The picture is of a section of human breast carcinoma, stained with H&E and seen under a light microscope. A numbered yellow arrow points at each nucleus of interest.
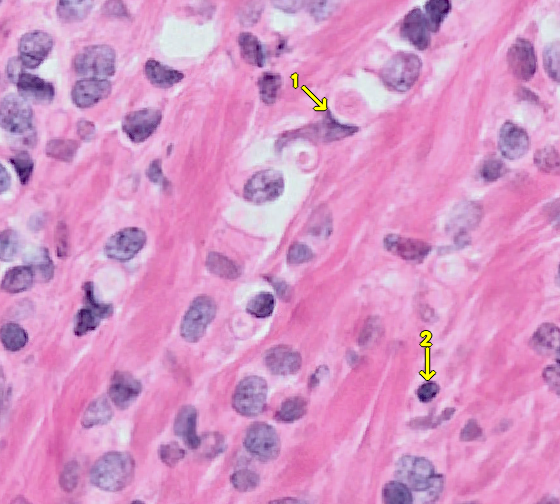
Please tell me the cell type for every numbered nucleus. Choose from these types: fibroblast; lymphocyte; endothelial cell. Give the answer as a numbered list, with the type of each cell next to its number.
1. fibroblast
2. lymphocyte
